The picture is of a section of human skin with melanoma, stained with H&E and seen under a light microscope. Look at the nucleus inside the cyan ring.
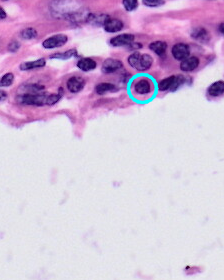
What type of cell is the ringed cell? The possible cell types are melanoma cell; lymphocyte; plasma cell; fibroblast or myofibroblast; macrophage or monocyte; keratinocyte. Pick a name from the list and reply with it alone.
plasma cell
